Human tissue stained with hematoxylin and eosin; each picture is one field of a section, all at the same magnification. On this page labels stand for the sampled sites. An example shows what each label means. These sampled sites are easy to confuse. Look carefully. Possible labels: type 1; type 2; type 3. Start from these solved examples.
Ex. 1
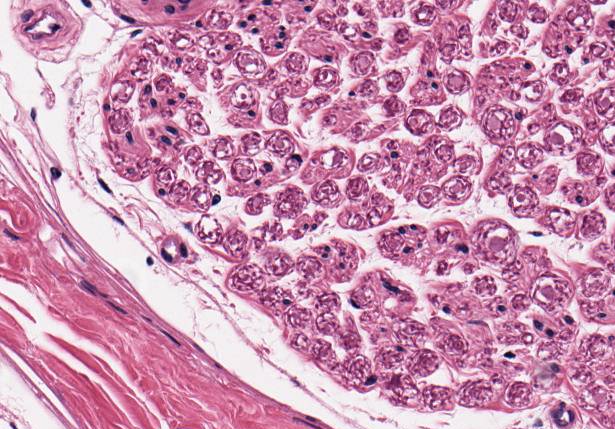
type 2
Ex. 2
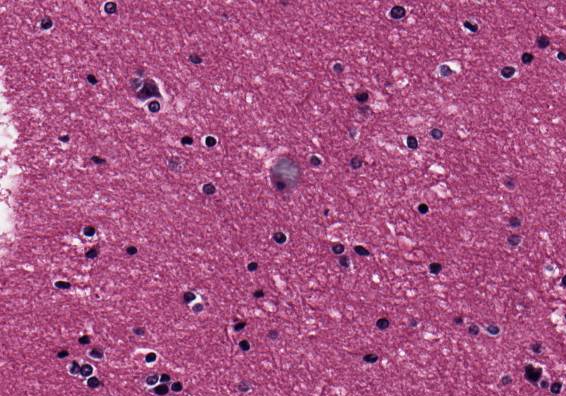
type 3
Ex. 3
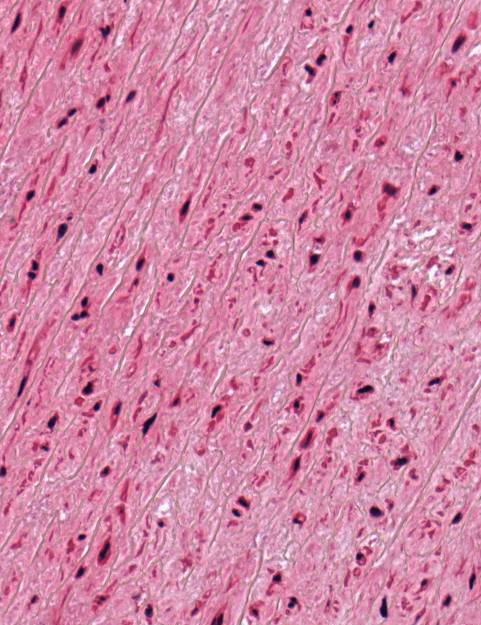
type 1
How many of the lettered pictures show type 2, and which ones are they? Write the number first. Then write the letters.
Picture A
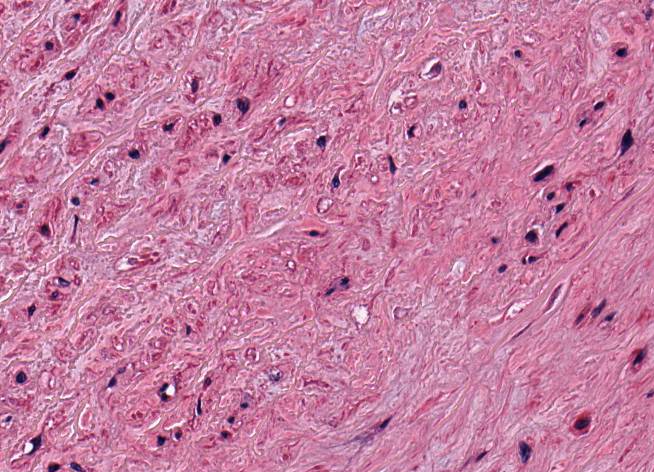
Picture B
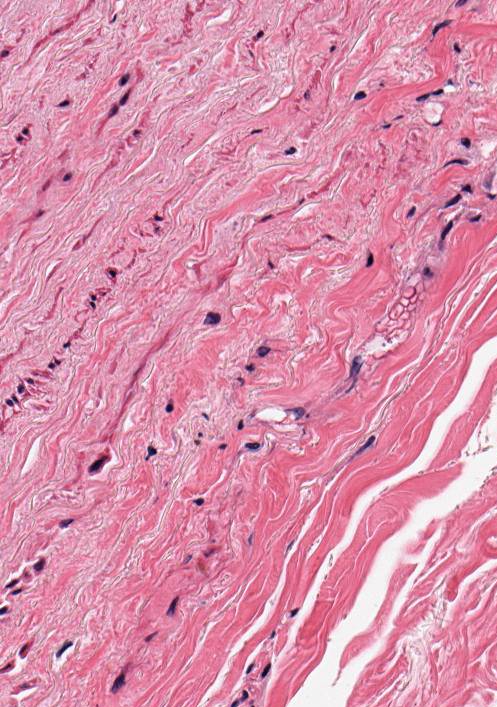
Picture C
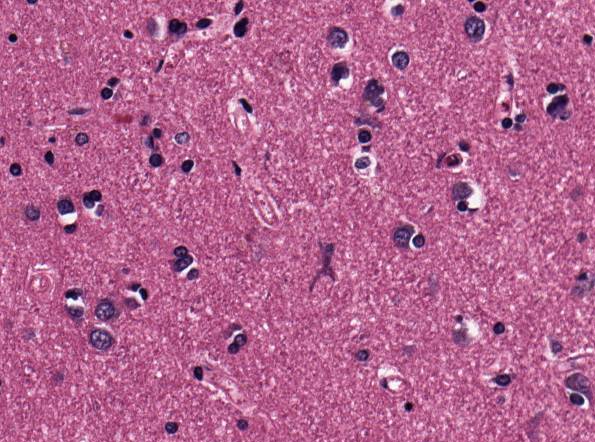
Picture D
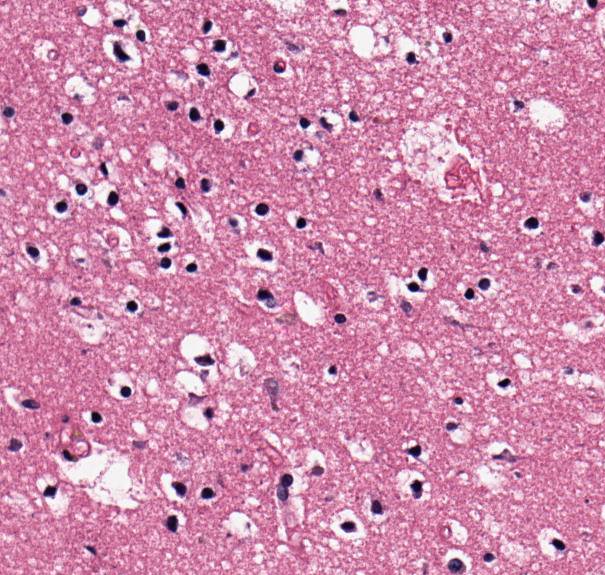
0, none of them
